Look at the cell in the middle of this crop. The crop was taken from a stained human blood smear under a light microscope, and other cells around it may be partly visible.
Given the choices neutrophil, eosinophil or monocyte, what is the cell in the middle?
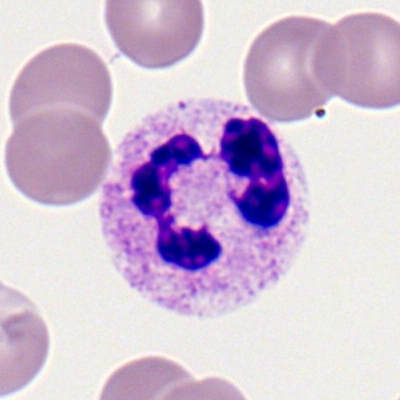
neutrophil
